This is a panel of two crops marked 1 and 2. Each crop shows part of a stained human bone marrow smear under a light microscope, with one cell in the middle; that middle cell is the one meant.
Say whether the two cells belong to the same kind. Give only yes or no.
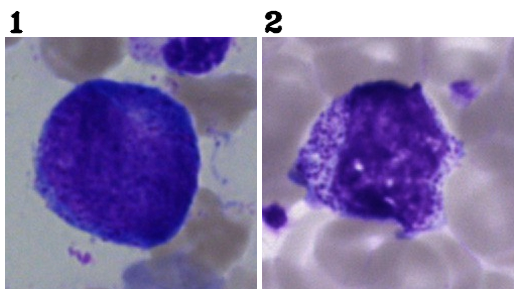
no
